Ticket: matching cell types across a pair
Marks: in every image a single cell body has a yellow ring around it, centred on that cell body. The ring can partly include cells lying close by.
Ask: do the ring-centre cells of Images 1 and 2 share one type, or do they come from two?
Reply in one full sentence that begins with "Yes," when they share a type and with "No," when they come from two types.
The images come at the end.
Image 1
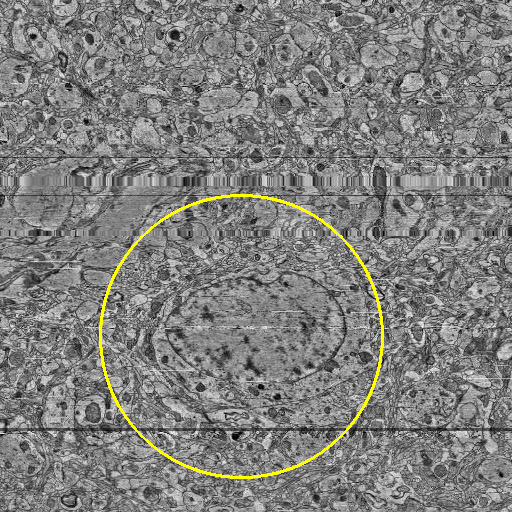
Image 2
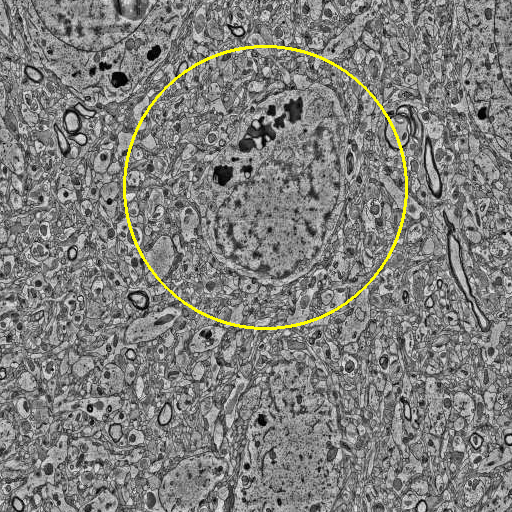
No, the cells in the centres of the rings in Image 1 and Image 2 come from two types.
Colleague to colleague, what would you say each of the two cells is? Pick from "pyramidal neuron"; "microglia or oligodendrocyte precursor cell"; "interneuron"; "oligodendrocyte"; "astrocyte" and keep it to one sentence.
The cell in the first picture is a pyramidal neuron; the second picture's cell is an interneuron.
